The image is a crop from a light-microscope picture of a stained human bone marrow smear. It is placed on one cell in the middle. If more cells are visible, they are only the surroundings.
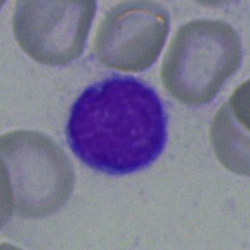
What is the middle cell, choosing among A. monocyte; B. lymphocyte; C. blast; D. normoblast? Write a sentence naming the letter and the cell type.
The correct option, B, names the middle cell as a lymphocyte.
